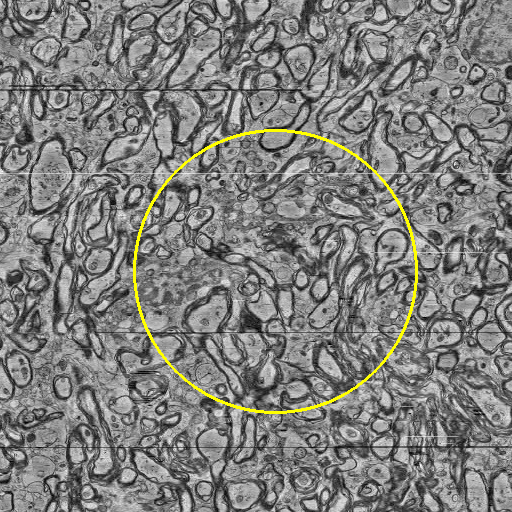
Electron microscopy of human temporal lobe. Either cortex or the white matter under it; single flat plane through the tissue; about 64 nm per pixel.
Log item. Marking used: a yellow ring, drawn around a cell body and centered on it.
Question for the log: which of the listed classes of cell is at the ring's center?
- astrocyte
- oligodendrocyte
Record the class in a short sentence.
At the center of the ring lies an astrocyte.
